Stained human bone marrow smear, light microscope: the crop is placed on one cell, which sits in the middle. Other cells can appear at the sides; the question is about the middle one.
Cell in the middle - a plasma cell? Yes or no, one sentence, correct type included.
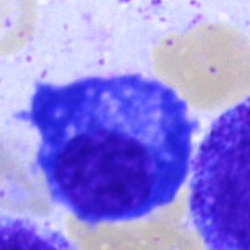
Yes, the cell right in the middle is a plasma cell.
